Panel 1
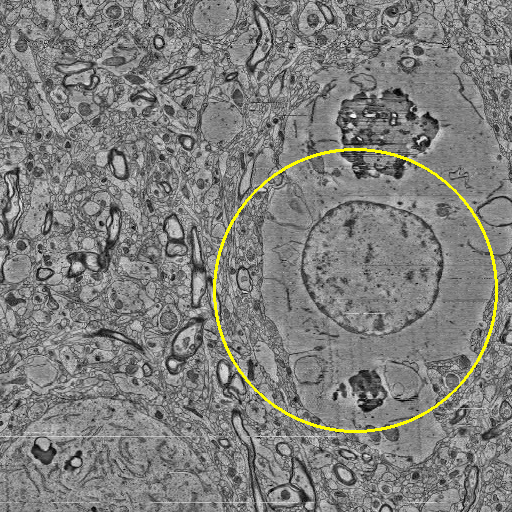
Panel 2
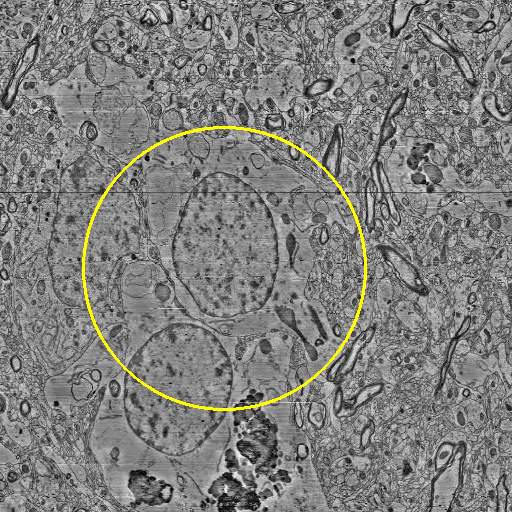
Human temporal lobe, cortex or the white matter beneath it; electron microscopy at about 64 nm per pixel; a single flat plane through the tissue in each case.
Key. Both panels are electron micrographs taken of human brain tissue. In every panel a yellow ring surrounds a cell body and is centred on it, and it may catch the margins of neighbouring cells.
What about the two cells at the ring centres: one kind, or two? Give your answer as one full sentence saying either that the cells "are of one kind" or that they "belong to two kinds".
Across Panels 1 and 2, the two cells at the ring centres are of one kind.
